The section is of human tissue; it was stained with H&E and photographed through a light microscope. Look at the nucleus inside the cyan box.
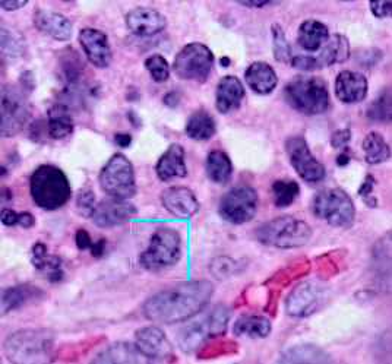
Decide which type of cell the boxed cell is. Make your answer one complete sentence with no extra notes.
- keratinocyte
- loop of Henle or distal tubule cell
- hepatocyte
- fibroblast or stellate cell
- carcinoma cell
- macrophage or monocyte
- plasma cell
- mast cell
It is a macrophage or monocyte that the boxed cell represents.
